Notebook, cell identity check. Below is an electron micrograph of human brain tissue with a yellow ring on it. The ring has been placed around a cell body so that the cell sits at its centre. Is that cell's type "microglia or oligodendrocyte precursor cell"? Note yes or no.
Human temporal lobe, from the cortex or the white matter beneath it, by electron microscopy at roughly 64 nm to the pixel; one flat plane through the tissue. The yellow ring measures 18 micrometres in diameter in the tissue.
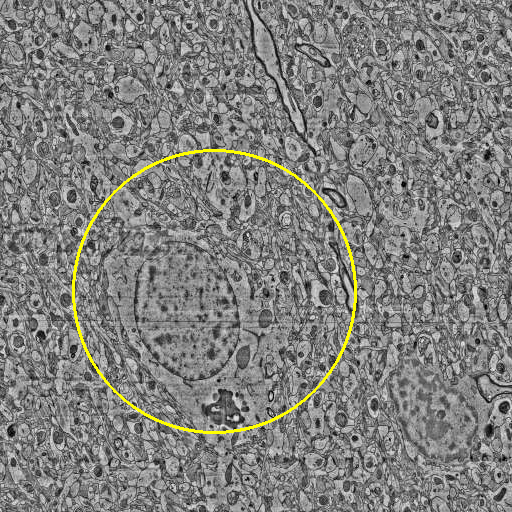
No, its cell type is another one.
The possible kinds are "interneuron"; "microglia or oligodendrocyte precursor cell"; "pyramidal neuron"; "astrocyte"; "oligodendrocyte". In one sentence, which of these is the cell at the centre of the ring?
The correct answer is that the cell is an astrocyte.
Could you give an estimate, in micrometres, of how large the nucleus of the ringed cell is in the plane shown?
The ringed cell's nucleus measures approximately 9 by 7 micrometres in this plane.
